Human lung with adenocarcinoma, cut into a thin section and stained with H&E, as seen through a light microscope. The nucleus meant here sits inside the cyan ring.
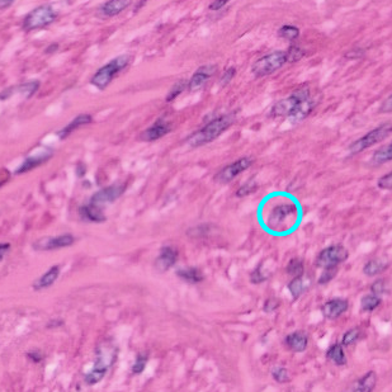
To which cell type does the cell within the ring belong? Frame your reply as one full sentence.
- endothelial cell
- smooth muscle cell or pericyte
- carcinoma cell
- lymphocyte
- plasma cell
Students should answer that the cell within the ring is a smooth muscle cell or pericyte.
